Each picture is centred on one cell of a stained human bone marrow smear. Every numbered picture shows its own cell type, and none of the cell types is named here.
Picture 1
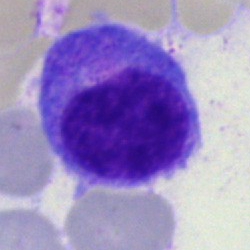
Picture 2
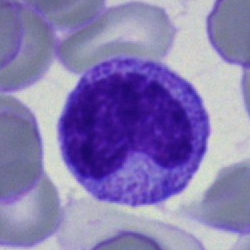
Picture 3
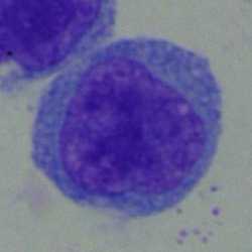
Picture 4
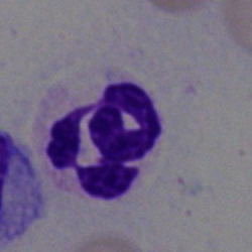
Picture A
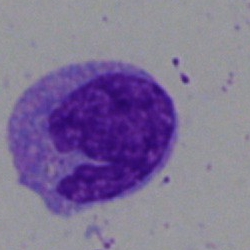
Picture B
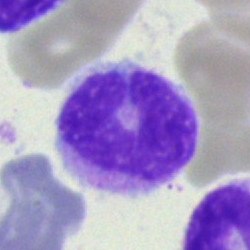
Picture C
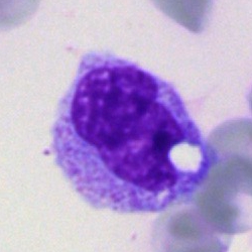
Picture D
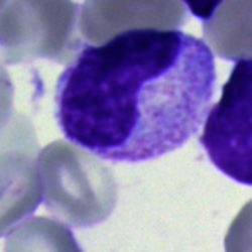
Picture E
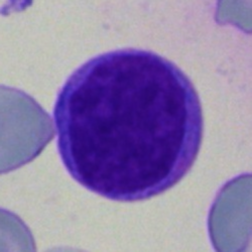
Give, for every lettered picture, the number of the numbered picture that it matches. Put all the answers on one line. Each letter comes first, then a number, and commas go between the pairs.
A 1, B 1, C 2, D 2, E 3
